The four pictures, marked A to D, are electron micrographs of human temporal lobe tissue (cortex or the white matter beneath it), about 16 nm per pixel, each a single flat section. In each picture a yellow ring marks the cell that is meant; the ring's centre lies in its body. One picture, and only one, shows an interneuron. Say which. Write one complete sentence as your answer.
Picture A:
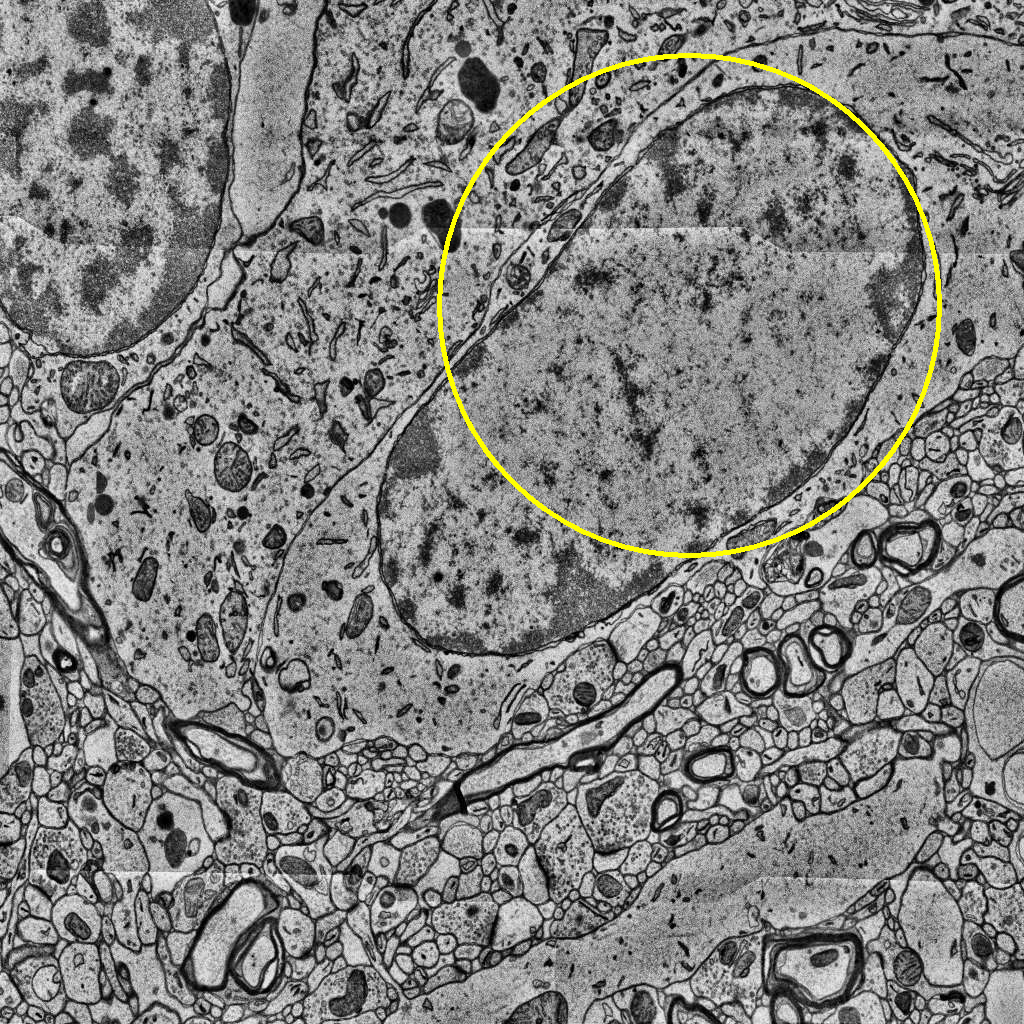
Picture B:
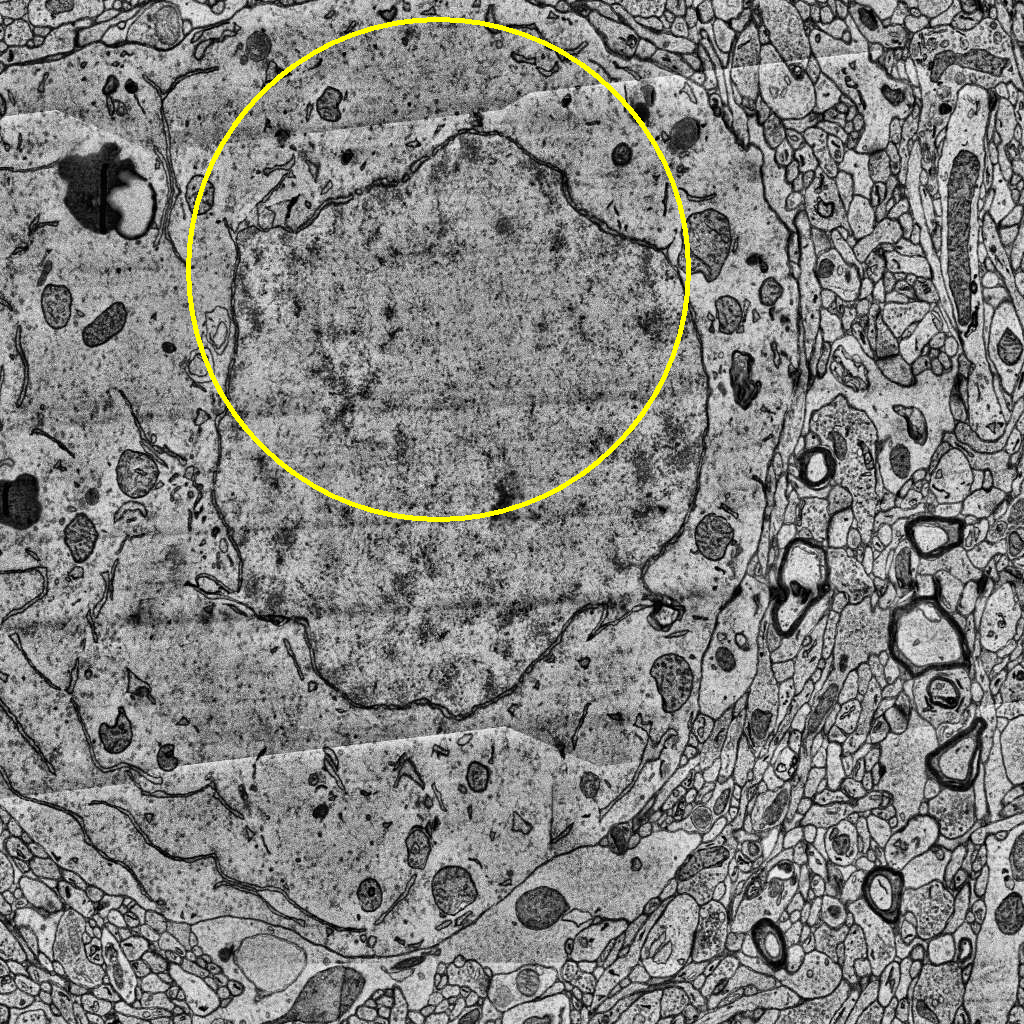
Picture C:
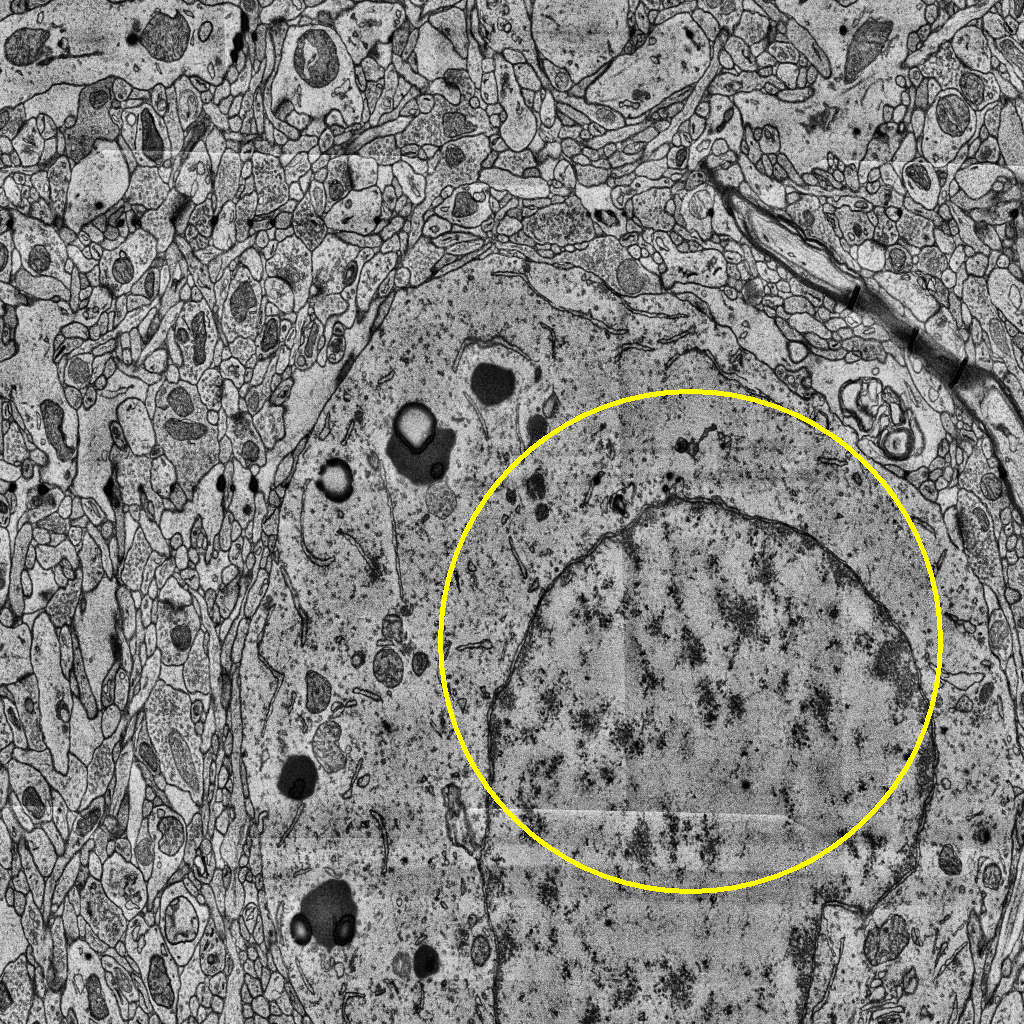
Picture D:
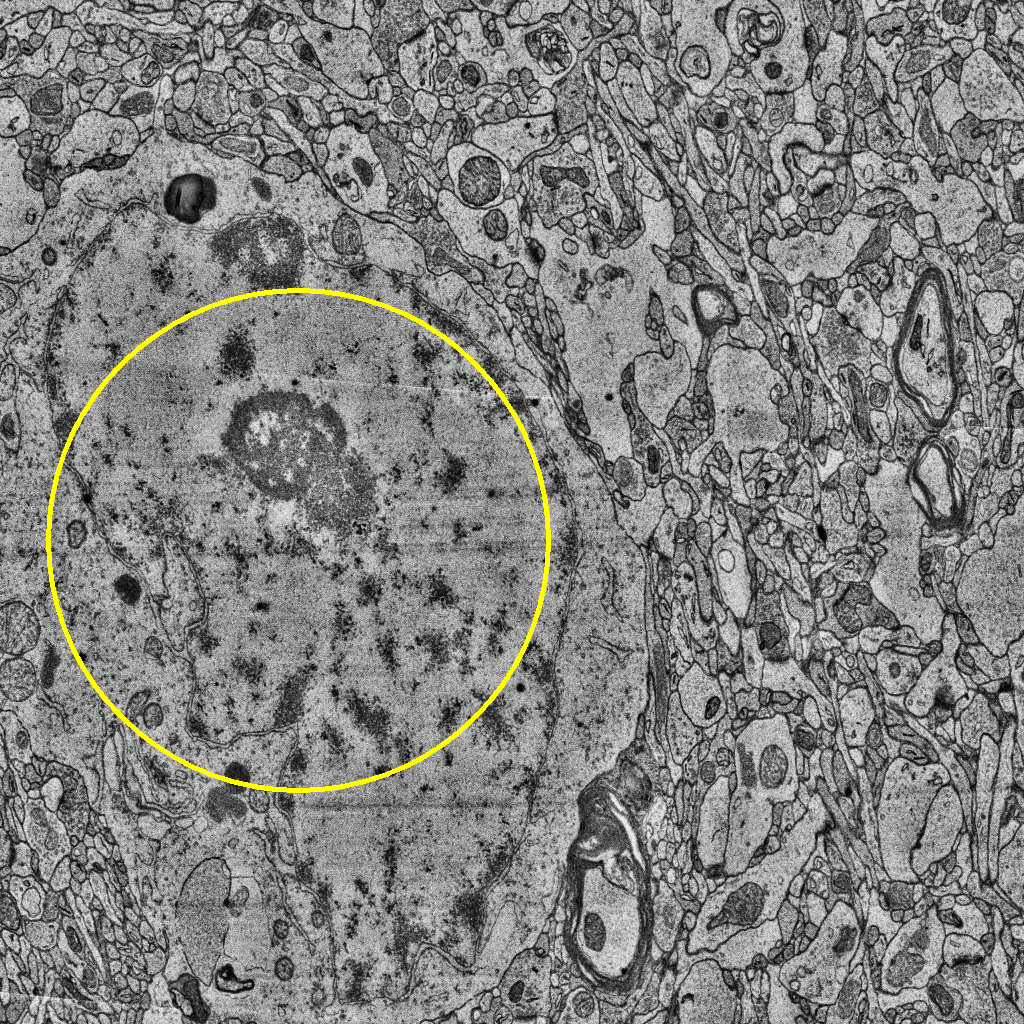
Picture D shows the interneuron.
